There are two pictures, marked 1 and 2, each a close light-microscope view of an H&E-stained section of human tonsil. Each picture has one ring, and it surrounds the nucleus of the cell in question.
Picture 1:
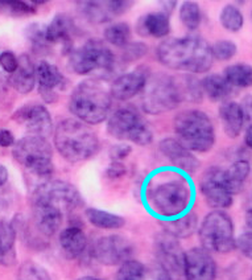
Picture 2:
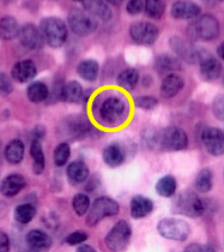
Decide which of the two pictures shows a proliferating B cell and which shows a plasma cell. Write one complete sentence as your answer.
Picture 1 shows a proliferating B cell and picture 2 shows a plasma cell.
